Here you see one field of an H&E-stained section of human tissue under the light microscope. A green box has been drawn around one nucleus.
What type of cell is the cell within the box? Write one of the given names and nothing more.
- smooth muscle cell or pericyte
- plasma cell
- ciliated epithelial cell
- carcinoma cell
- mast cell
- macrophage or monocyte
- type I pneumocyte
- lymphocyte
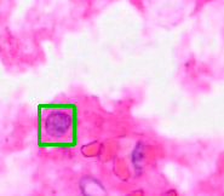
macrophage or monocyte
